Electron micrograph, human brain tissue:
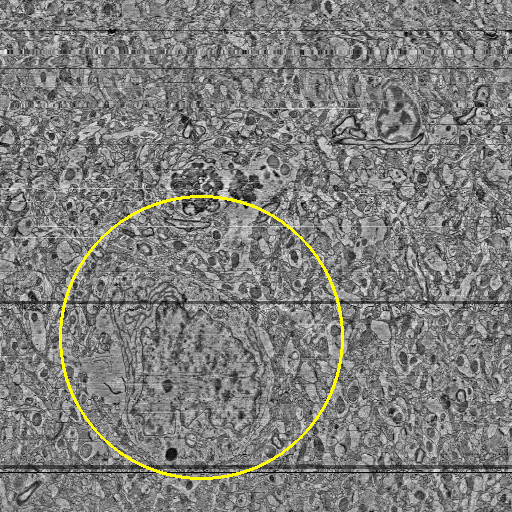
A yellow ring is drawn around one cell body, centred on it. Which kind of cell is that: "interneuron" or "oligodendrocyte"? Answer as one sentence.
It is an interneuron at the centre of the ring.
